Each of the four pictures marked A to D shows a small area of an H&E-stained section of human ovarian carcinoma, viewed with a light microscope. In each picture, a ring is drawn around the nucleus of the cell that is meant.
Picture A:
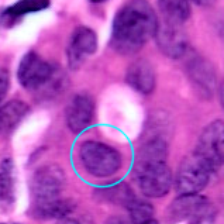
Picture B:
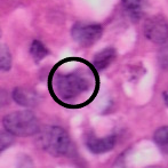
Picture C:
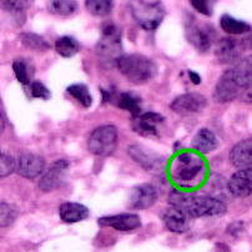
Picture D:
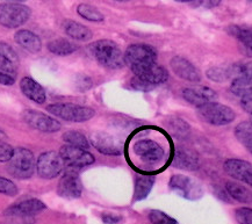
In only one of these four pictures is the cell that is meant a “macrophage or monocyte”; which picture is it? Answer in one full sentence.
The picture with the “macrophage or monocyte” is D.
